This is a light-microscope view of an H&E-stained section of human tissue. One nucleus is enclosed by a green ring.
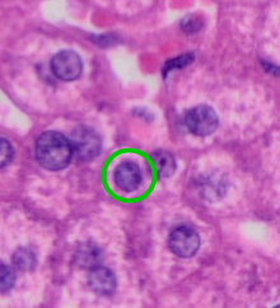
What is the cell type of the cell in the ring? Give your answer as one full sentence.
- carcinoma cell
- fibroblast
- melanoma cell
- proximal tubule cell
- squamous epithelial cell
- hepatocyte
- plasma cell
The category to which the cell in the ring belongs is that of a hepatocyte.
